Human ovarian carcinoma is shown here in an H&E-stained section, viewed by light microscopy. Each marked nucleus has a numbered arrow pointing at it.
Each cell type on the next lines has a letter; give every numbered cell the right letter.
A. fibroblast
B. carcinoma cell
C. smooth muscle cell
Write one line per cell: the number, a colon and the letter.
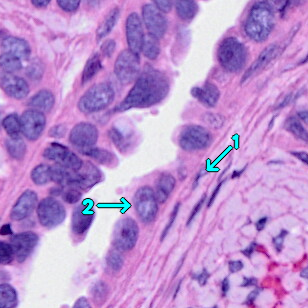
1: A
2: B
